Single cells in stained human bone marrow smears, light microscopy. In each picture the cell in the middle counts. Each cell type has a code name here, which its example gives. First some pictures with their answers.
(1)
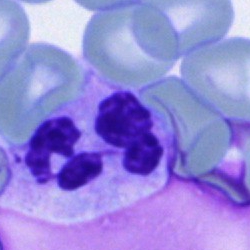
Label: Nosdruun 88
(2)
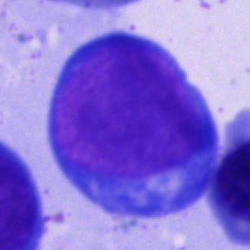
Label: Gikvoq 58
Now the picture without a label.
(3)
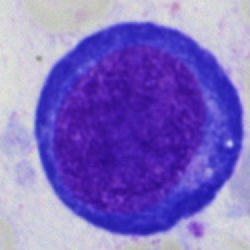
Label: Gikvoq 58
